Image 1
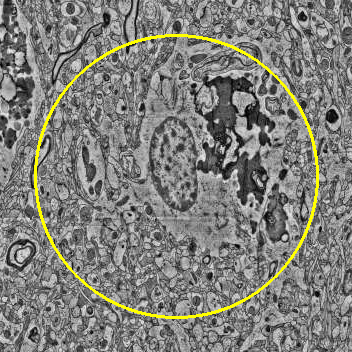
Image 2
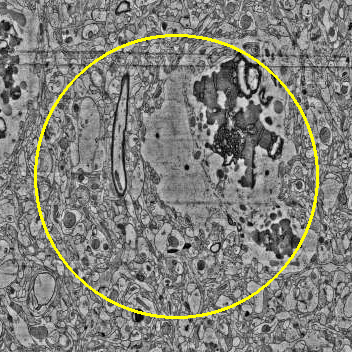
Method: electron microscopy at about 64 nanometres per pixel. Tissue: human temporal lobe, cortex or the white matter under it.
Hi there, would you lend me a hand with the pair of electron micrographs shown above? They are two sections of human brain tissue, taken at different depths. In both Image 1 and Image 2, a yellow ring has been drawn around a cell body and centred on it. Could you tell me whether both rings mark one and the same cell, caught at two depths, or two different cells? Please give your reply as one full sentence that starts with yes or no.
Yes, a single cell is the subject of both yellow rings.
